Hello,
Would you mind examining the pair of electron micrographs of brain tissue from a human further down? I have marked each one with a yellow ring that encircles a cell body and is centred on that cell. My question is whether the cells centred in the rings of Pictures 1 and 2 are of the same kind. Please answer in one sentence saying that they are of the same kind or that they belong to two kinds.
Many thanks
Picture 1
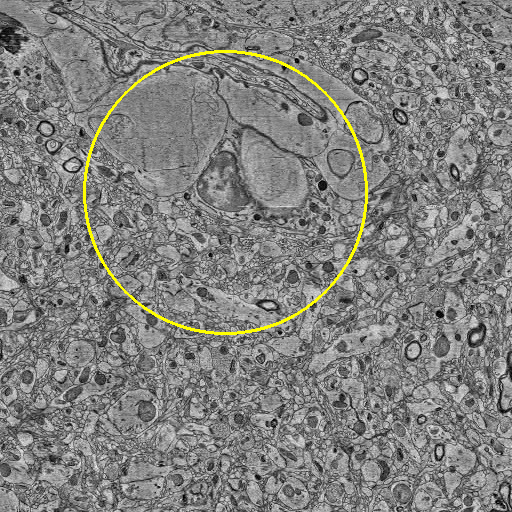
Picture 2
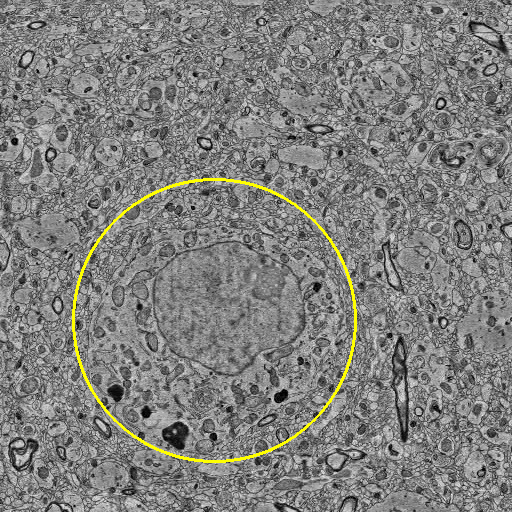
In Pictures 1 and 2, the cells at the heart of the rings belong to two kinds.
